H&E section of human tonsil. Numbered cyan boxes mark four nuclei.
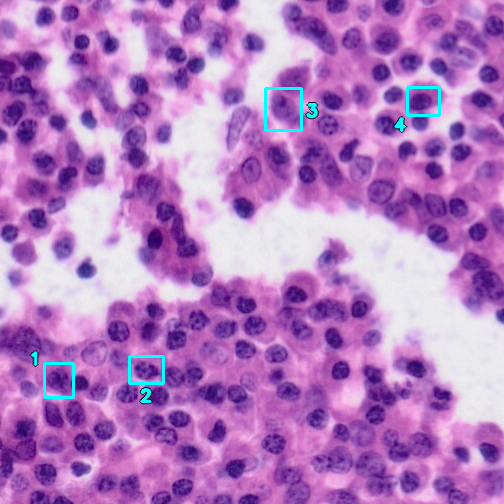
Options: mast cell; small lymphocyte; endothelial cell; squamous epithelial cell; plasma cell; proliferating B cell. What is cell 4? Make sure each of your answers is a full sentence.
The cell pointed out by number 4 is a plasma cell.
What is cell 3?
Regarding cell 3, this one is a squamous epithelial cell.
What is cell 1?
The cell that goes by number 1 is a plasma cell.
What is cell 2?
The cell that is numbered 2 is a plasma cell.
